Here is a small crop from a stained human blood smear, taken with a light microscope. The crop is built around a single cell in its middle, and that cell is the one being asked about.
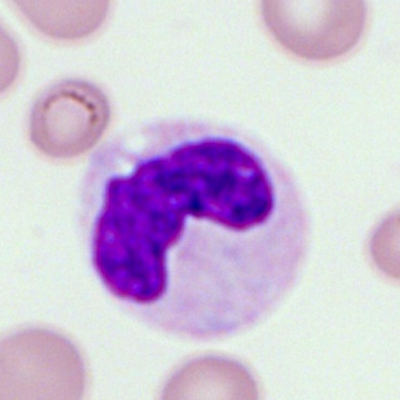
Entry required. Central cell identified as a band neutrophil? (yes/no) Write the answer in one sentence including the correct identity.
Yes, the cell at the center of the crop is a band neutrophil.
